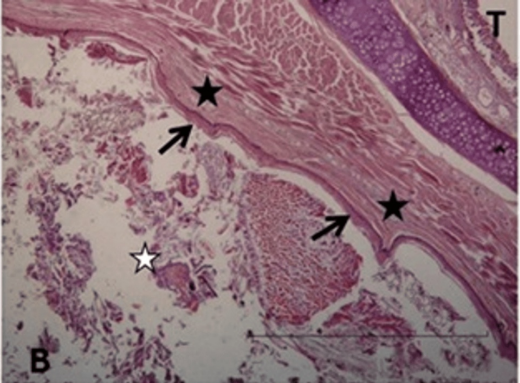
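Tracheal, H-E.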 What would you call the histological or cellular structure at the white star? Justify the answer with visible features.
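Nutrient residues. Loose, fragmented pink material lies free in the lumen, apart from the wall. A fragment of striated, fibre-like material floats among the debris.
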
